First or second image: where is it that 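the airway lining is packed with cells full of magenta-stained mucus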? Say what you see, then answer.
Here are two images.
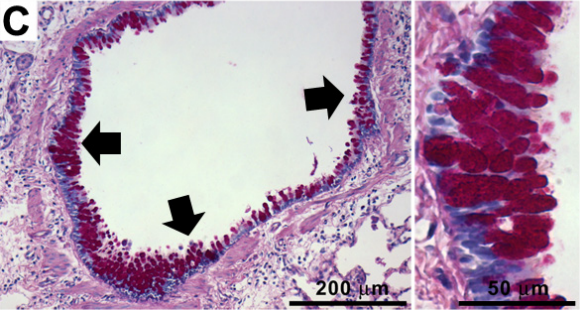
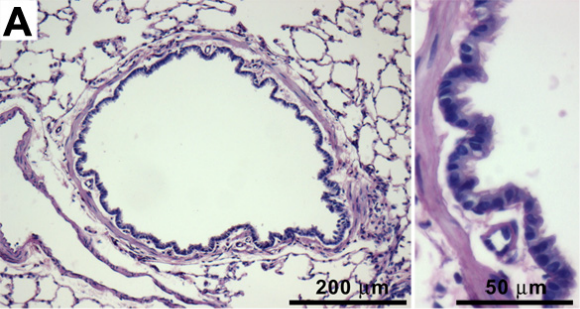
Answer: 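The first image. First image: most of the airway lining is taken up by tall cells filled with deep magenta material. Second image: the airway lining shows blue nuclei and pale cytoplasm with no magenta-filled cells.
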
